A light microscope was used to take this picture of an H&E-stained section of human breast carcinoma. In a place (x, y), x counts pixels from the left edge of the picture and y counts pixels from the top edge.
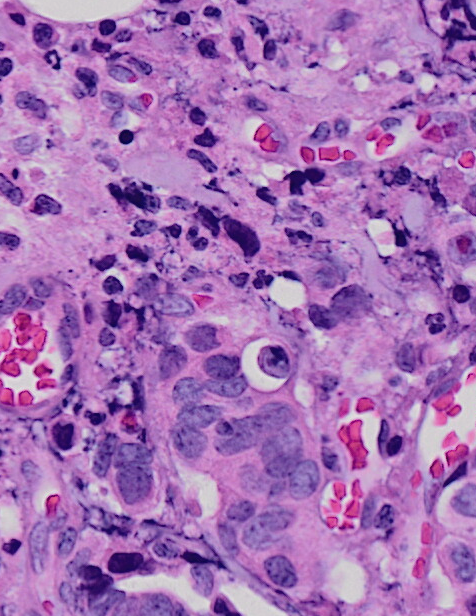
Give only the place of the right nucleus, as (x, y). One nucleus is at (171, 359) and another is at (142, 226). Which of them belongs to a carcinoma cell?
(171, 359)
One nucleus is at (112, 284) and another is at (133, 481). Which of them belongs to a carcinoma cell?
(133, 481)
